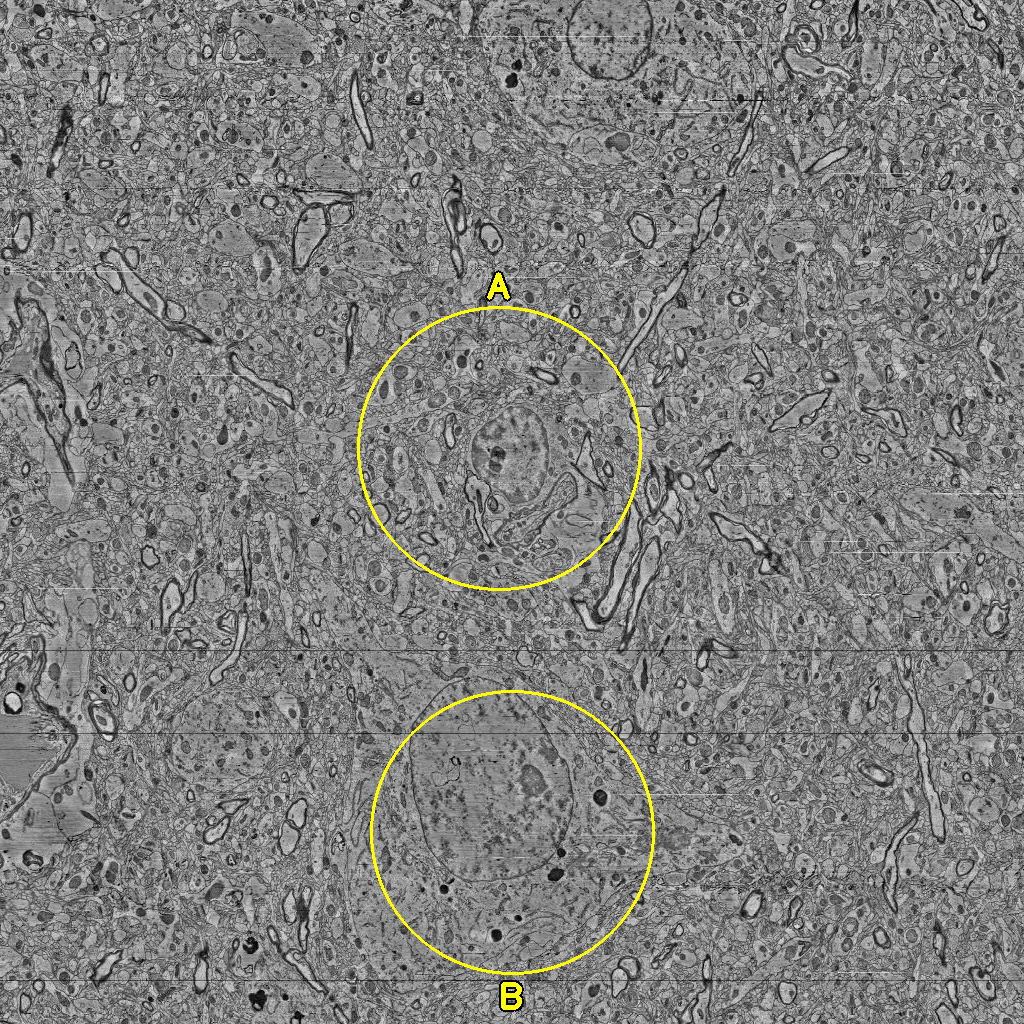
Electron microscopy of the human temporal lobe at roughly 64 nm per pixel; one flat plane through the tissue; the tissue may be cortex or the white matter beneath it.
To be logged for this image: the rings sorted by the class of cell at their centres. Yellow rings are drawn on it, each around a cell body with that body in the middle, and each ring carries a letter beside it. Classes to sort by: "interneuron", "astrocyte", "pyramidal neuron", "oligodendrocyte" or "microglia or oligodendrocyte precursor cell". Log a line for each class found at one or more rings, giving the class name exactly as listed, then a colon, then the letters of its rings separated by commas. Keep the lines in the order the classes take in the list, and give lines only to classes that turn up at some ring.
pyramidal neuron: B
oligodendrocyte: A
